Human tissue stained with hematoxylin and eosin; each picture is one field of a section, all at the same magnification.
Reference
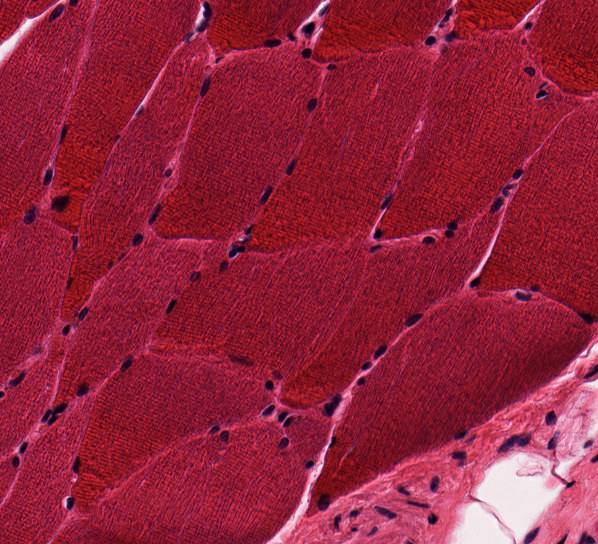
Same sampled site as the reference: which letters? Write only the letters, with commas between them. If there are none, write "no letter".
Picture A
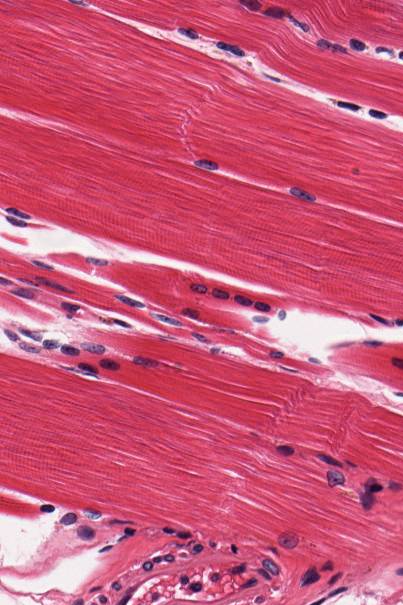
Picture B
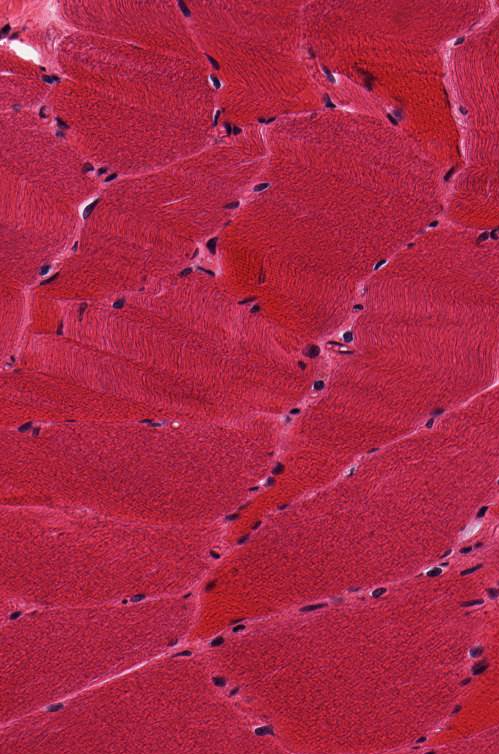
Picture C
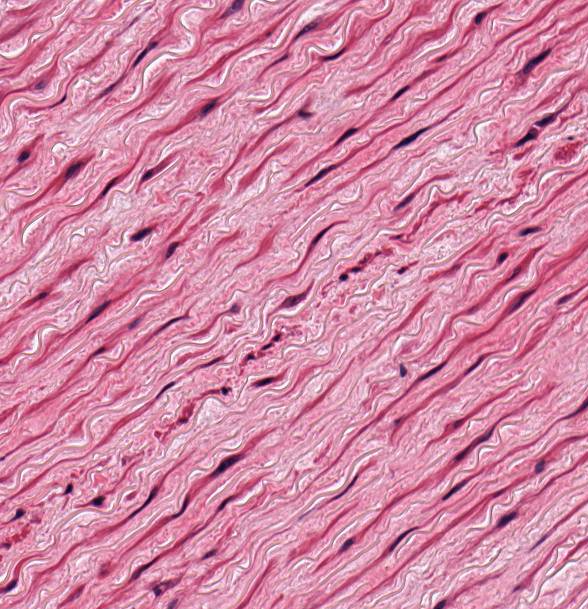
A, B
